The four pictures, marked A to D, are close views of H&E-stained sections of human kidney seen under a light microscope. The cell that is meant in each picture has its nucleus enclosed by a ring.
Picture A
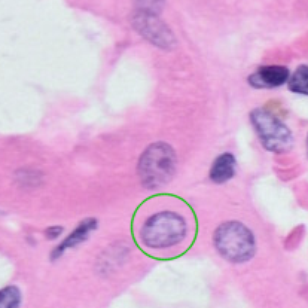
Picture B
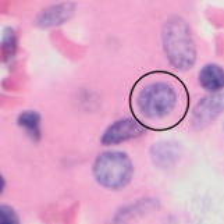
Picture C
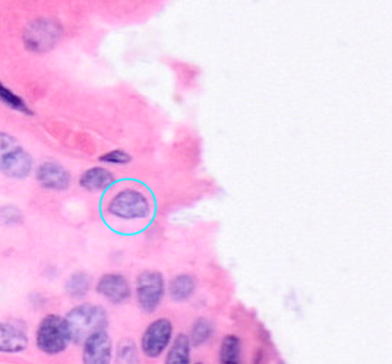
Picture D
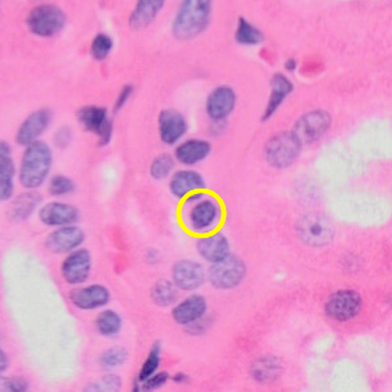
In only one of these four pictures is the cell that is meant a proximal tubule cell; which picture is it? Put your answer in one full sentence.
It is picture A that shows the proximal tubule cell.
